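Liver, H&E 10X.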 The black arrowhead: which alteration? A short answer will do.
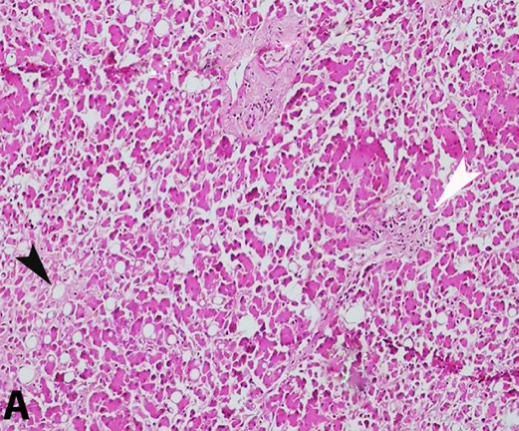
Steatosis.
